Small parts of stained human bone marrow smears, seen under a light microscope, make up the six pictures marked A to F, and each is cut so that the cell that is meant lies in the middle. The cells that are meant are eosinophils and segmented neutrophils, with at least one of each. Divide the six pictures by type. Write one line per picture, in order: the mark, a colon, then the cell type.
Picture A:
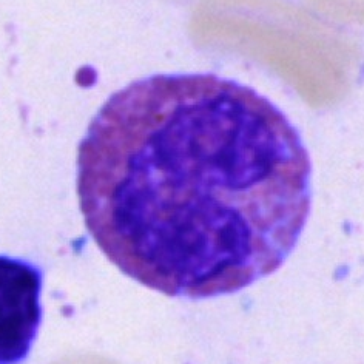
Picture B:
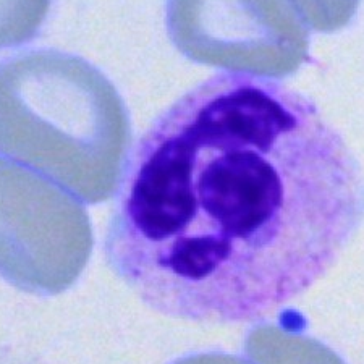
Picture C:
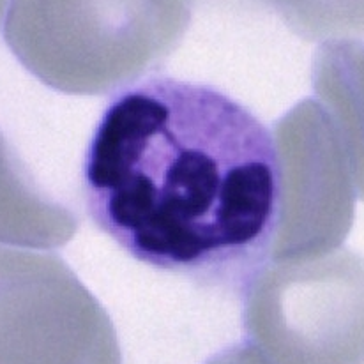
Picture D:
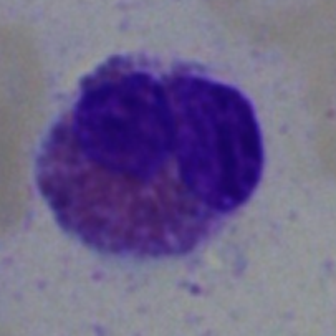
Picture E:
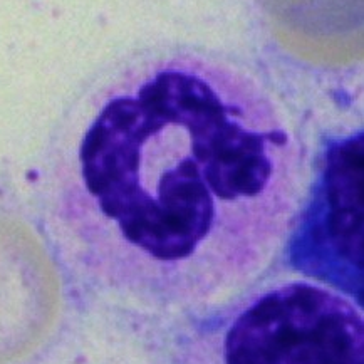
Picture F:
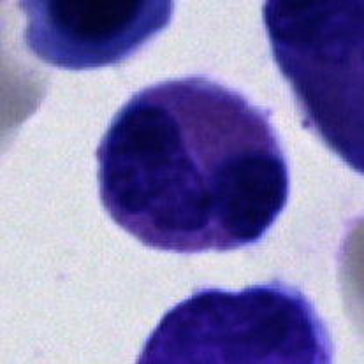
A: eosinophil
B: segmented neutrophil
C: segmented neutrophil
D: eosinophil
E: segmented neutrophil
F: eosinophil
